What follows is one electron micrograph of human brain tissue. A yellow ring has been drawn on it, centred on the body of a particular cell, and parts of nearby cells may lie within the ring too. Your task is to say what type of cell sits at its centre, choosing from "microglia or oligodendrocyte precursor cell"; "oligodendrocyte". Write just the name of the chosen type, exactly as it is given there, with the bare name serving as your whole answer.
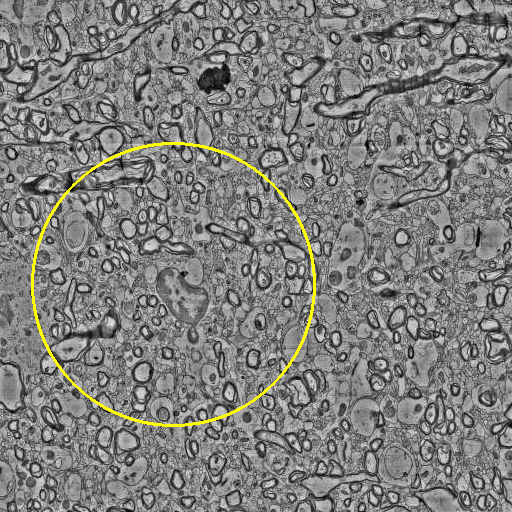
microglia or oligodendrocyte precursor cell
